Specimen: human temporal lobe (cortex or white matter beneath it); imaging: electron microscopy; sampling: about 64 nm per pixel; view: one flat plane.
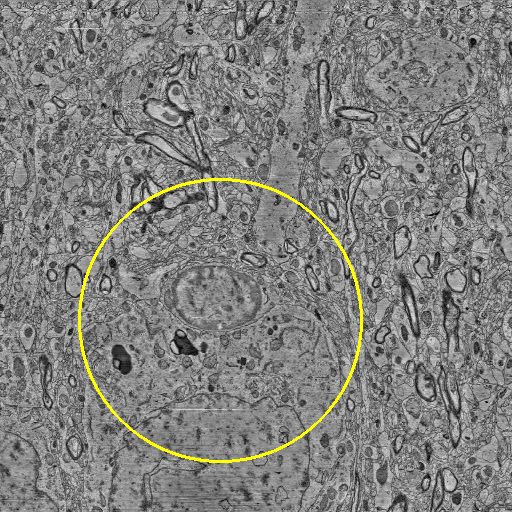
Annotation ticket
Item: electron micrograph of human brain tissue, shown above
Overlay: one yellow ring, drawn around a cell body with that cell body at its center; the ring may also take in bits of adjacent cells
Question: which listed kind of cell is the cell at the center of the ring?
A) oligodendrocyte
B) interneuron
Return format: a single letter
A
